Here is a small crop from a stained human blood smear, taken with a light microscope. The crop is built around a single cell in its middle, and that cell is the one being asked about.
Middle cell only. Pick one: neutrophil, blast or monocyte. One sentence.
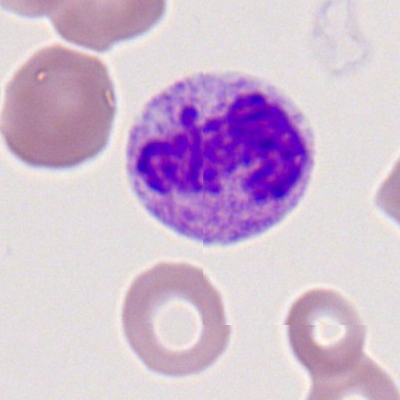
At the crop's centre, the cell is a neutrophil.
